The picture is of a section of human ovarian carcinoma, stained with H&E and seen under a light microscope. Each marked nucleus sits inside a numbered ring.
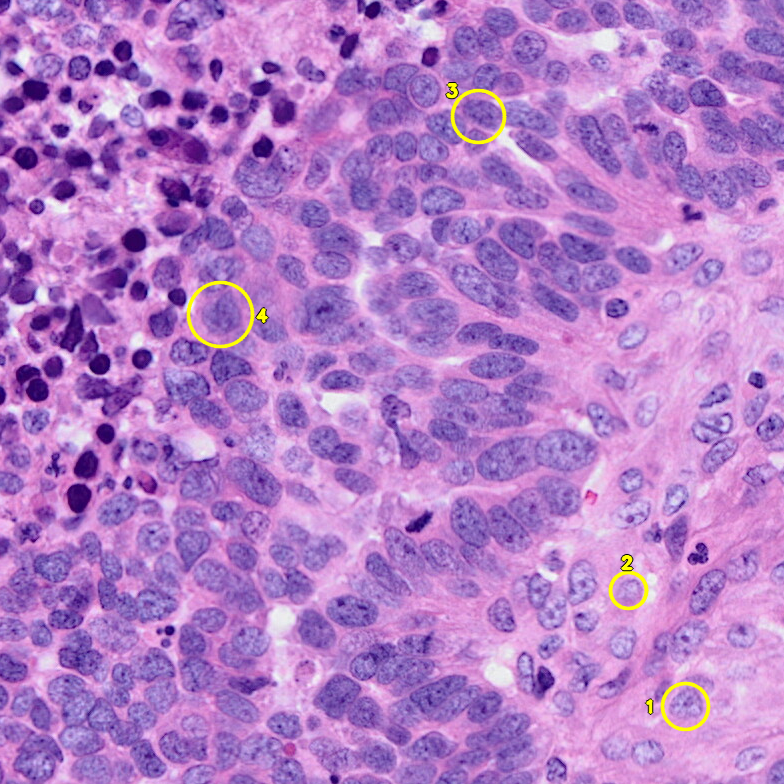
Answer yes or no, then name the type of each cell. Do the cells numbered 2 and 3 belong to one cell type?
No, cell 2 is a fibroblast and cell 3 is a carcinoma cell.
